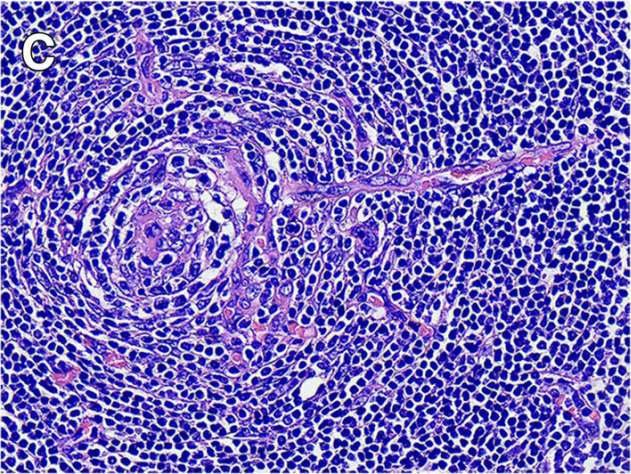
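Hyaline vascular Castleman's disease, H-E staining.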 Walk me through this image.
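This is a lymph node follicle in which a small capillary runs straight into a shrunken centre, giving a lollipop-like appearance. Around the centre, small round lymphocytes with dark, dense nuclei are set in concentric rings. The centre itself holds a few paler, elongated cells and pink-staining vessel walls.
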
